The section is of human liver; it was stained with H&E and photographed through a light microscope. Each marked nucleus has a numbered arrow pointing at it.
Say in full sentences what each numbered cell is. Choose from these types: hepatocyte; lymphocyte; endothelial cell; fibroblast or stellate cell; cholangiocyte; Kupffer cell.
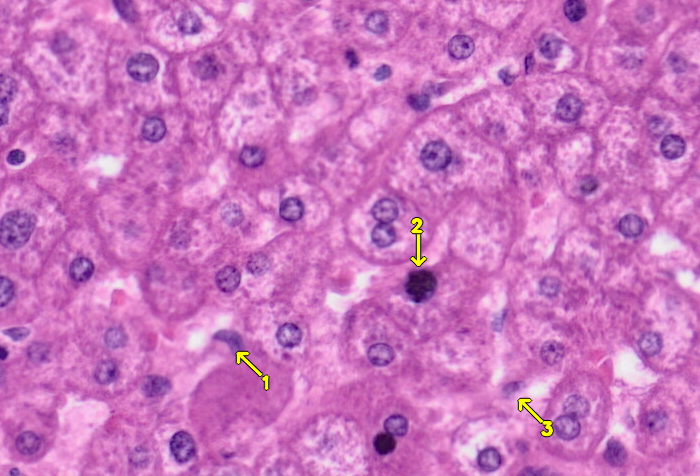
Cell 1 is a Kupffer cell, cell 2 is a hepatocyte and cell 3 is a Kupffer cell.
